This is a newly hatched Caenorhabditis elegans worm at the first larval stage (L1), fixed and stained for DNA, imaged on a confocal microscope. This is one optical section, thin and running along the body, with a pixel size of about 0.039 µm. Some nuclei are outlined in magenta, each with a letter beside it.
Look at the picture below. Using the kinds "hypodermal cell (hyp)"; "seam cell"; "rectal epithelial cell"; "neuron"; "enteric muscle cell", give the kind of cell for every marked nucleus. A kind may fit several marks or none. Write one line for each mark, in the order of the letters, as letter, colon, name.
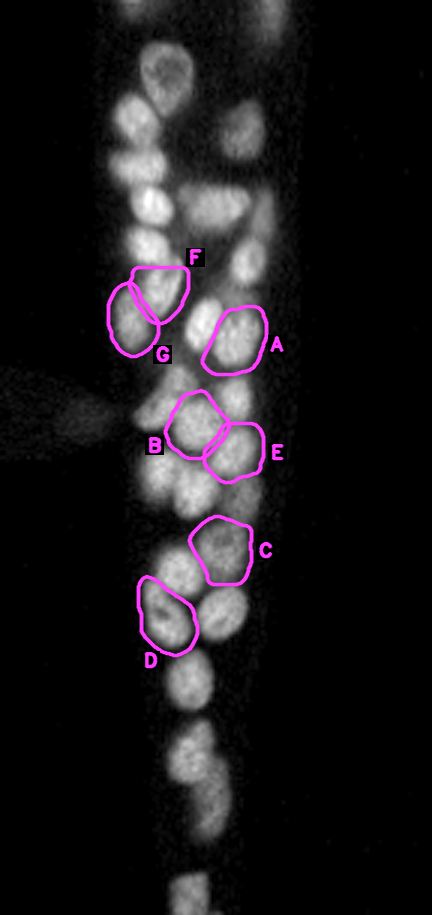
A: neuron
B: neuron
C: seam cell
D: hypodermal cell (hyp)
E: neuron
F: rectal epithelial cell
G: rectal epithelial cell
